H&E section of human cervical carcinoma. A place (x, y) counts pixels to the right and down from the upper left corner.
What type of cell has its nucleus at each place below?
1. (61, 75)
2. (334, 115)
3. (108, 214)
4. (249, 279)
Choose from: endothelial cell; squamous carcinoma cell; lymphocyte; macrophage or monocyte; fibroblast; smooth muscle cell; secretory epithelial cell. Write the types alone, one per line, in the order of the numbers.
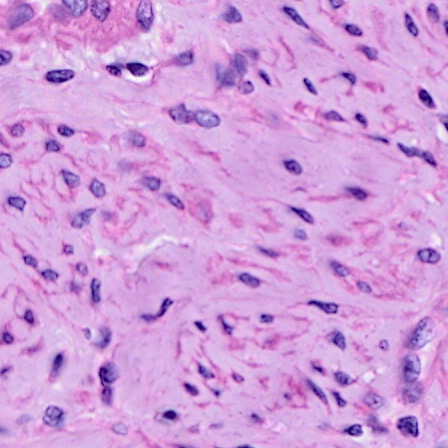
lymphocyte
smooth muscle cell
smooth muscle cell
smooth muscle cell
